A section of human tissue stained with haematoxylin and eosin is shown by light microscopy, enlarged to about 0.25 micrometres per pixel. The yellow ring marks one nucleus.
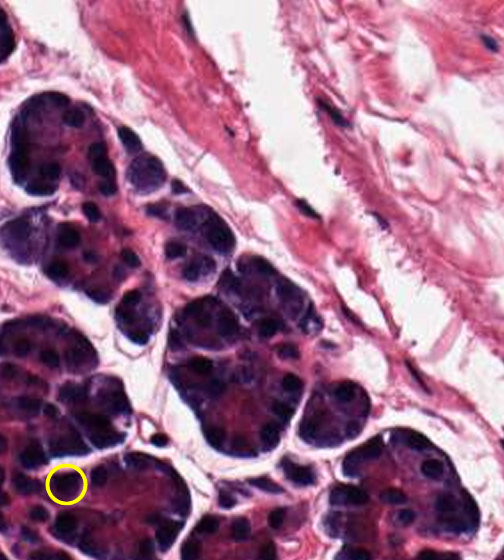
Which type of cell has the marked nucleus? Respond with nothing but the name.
pancreatic acinar cell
